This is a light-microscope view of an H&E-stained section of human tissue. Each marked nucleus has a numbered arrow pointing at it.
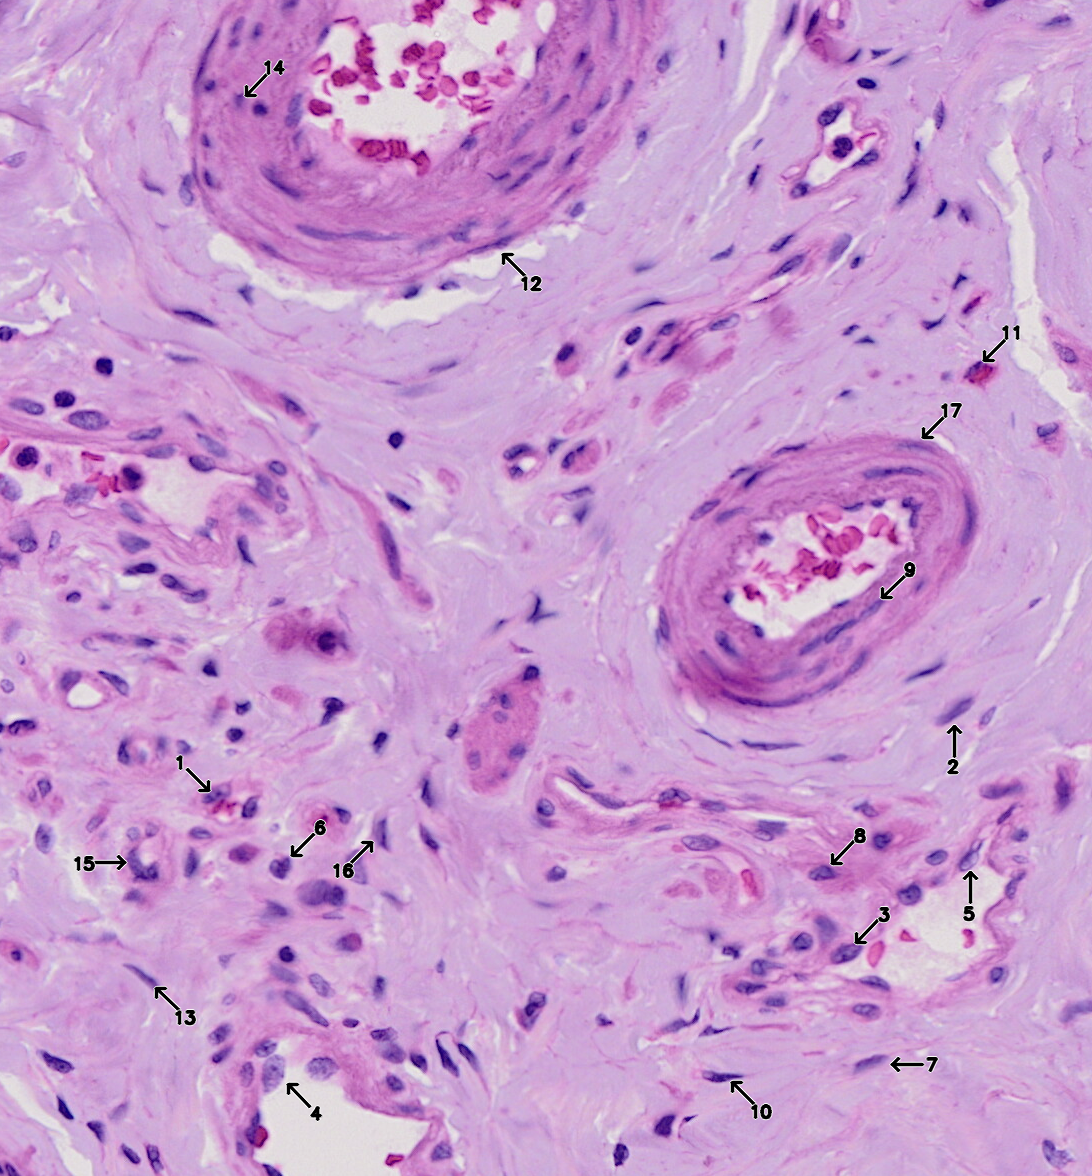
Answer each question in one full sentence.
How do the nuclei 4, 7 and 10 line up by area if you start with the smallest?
By area, going up from the smallest, they rank 10, 7, 4.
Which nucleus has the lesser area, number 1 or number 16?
Number 1 is smaller, since number 16 takes up about 1.5 times as much area.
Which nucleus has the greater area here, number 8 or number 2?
Nucleus 2 is larger, with an area about 1.5 times that of nucleus 8.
